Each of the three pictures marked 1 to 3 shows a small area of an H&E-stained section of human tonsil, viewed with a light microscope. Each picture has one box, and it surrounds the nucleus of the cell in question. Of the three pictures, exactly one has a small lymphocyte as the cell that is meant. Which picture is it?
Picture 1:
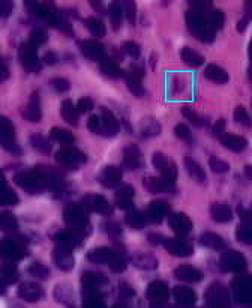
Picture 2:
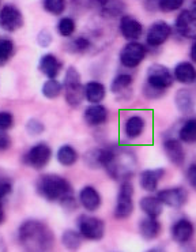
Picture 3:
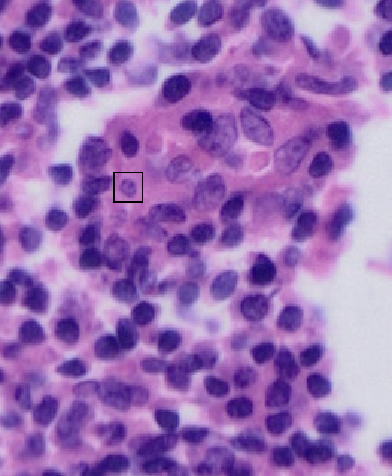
2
